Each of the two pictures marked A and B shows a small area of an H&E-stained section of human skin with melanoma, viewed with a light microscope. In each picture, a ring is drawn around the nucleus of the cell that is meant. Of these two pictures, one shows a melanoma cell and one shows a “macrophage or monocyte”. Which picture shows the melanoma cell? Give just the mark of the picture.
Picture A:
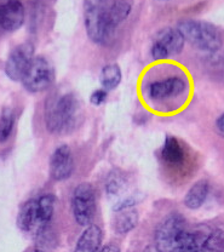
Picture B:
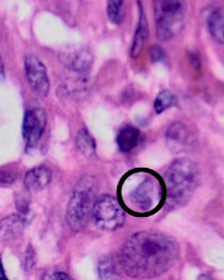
B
